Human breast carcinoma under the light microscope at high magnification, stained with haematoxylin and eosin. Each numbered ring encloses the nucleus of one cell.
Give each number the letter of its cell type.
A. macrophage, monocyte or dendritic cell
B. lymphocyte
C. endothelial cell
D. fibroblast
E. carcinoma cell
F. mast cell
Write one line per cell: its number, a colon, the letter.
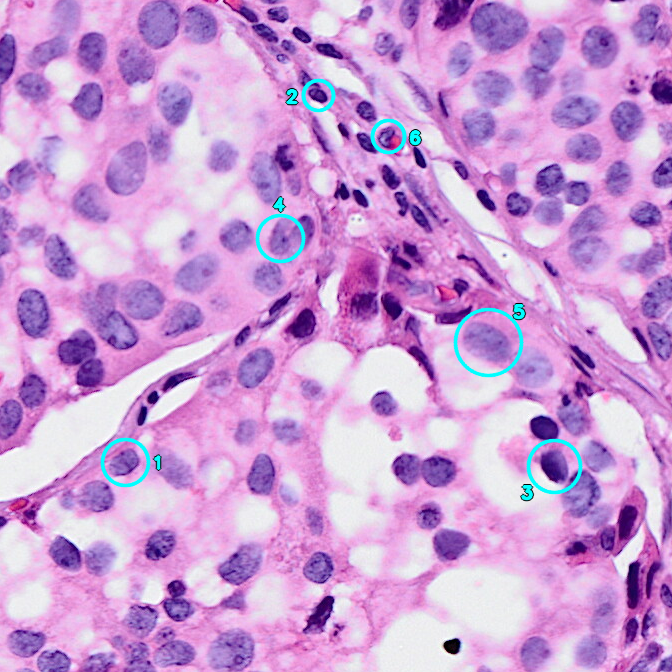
1: E
2: B
3: E
4: E
5: E
6: C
